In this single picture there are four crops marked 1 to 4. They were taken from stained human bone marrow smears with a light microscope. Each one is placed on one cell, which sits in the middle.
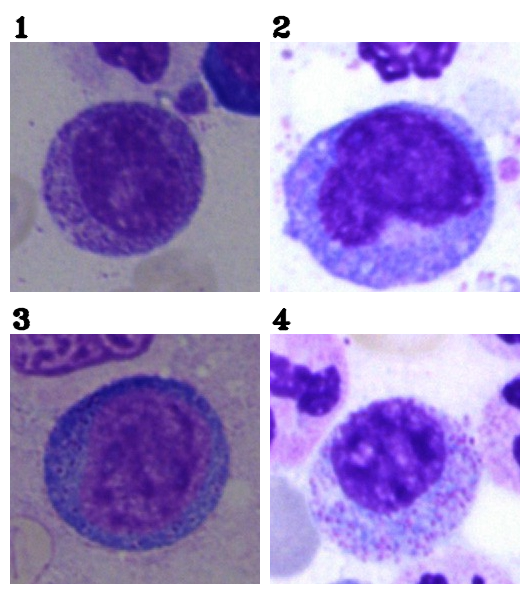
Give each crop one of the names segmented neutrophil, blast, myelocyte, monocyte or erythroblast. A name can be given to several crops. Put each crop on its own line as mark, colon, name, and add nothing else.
1: myelocyte
2: monocyte
3: blast
4: myelocyte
